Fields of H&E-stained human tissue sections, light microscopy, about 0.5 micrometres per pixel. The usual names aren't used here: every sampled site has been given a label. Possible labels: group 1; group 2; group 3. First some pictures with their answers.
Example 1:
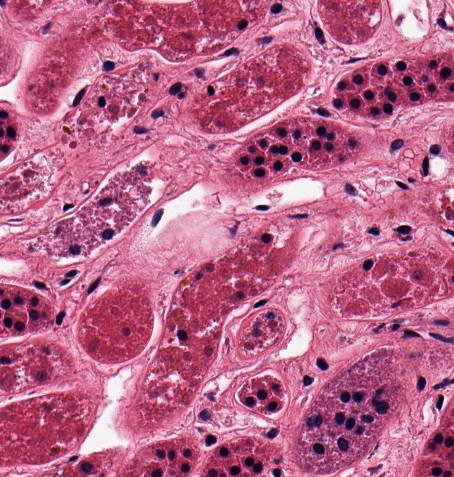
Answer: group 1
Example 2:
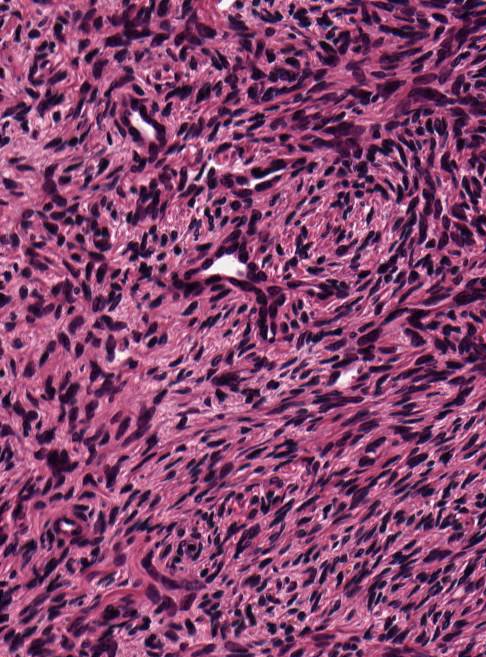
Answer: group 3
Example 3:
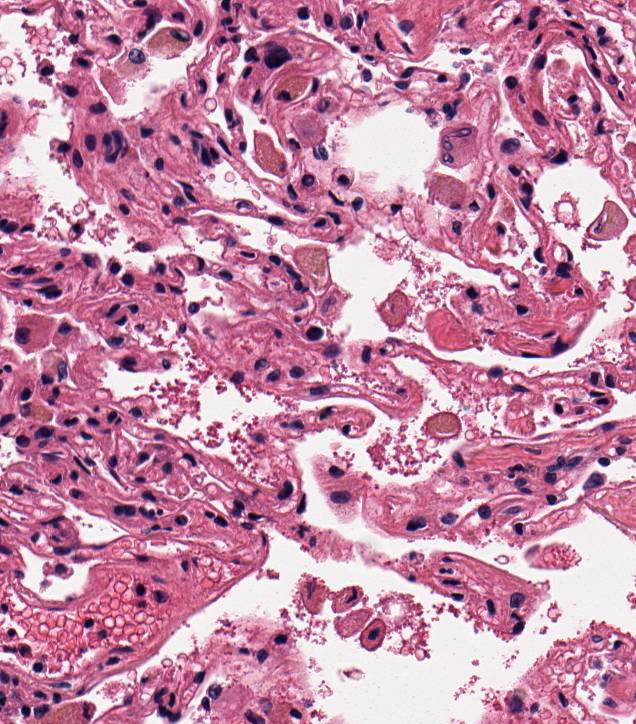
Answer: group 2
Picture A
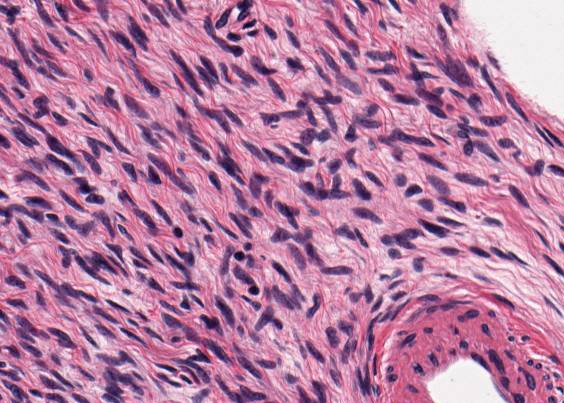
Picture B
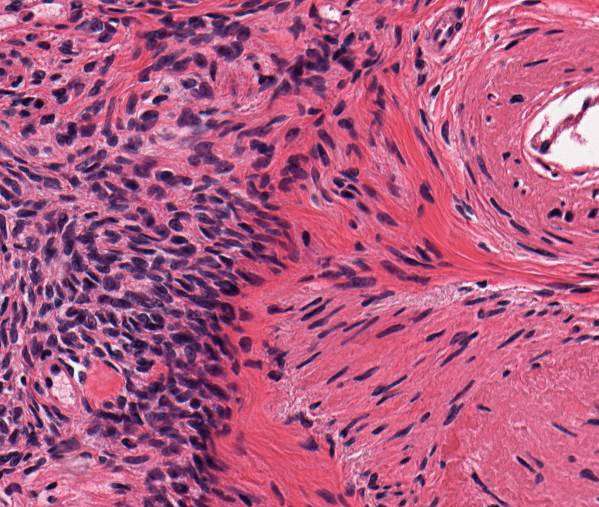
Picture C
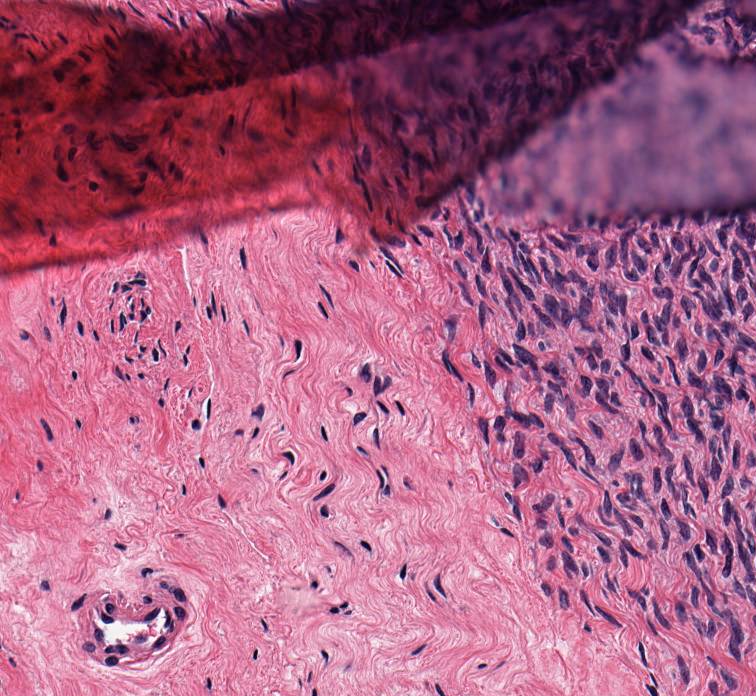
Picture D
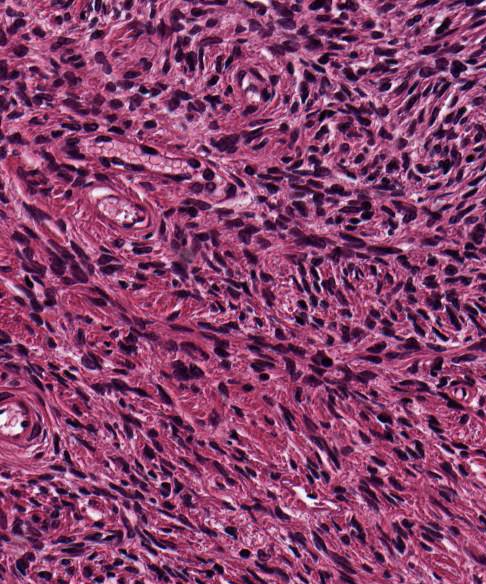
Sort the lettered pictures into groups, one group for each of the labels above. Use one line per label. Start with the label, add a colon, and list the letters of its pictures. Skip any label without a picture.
group 3: A, B, C, D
